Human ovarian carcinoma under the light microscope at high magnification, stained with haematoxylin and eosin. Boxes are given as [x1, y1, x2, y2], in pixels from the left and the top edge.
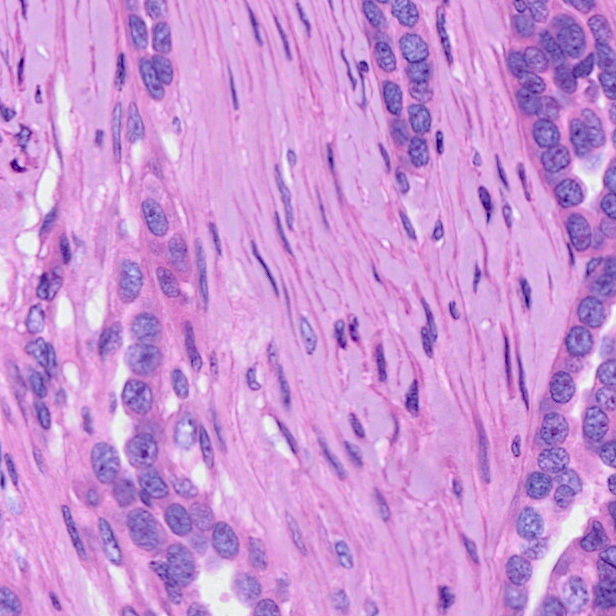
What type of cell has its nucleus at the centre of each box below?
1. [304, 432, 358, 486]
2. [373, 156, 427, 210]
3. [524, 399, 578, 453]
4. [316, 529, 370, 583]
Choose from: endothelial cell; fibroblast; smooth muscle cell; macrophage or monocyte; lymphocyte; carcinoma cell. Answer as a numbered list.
1. fibroblast
2. fibroblast
3. carcinoma cell
4. fibroblast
